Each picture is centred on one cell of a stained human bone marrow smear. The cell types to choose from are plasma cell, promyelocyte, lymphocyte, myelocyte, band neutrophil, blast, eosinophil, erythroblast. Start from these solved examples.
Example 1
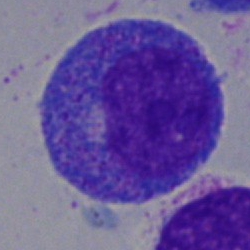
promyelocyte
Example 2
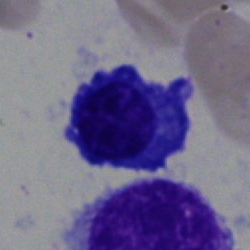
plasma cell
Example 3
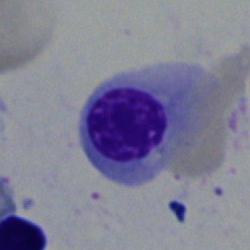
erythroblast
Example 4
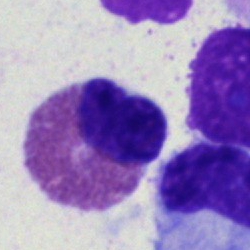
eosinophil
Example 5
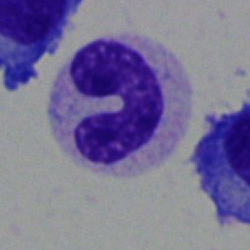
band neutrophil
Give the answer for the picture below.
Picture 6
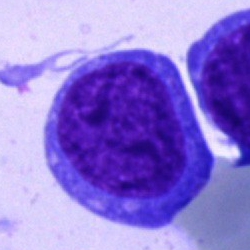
blast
